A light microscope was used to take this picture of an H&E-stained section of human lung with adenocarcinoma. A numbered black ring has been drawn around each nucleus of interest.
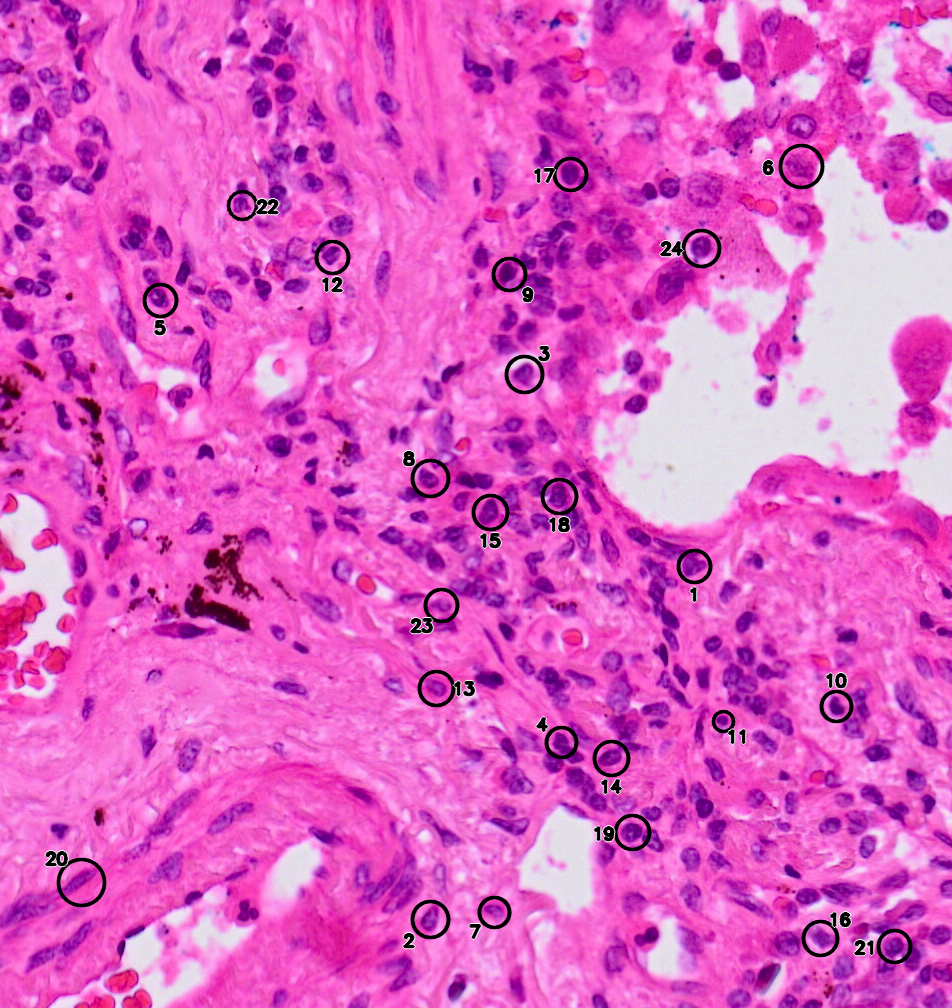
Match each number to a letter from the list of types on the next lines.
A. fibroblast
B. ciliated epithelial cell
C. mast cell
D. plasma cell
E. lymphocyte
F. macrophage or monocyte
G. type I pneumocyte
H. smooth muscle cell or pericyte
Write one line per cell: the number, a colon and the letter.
1: E
2: C
3: E
4: E
5: D
6: F
7: C
8: E
9: D
10: E
11: E
12: E
13: C
14: D
15: D
16: E
17: E
18: D
19: E
20: H
21: E
22: E
23: D
24: E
